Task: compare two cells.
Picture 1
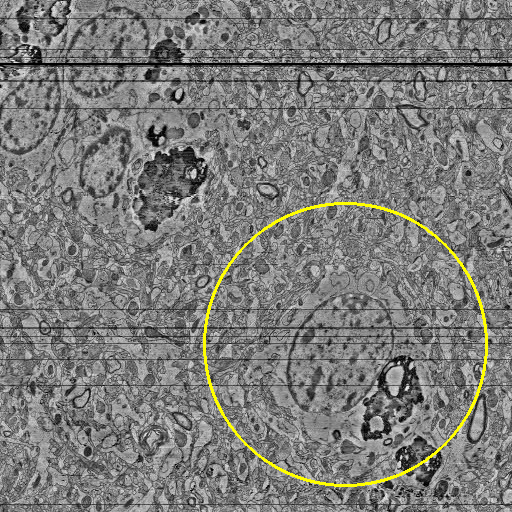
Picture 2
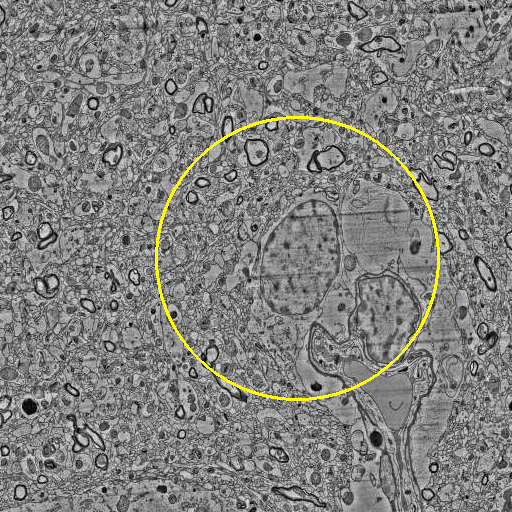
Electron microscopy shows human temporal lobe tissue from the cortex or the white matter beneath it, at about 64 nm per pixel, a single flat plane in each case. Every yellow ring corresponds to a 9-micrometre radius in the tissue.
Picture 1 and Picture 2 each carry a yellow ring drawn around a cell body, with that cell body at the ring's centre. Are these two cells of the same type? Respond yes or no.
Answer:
no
